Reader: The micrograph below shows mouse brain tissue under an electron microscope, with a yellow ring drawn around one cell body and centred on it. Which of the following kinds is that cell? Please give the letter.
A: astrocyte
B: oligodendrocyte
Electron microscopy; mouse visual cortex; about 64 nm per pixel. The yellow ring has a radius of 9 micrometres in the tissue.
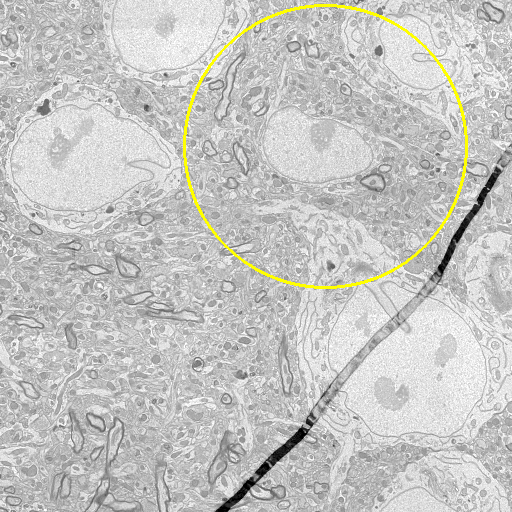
A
